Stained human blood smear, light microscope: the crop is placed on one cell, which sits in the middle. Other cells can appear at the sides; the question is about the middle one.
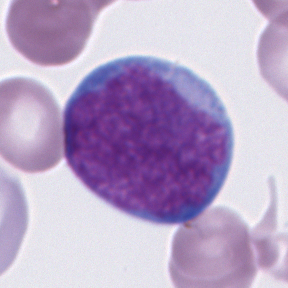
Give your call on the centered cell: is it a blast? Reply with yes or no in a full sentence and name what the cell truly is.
Yes, the cell at the middle is a blast.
